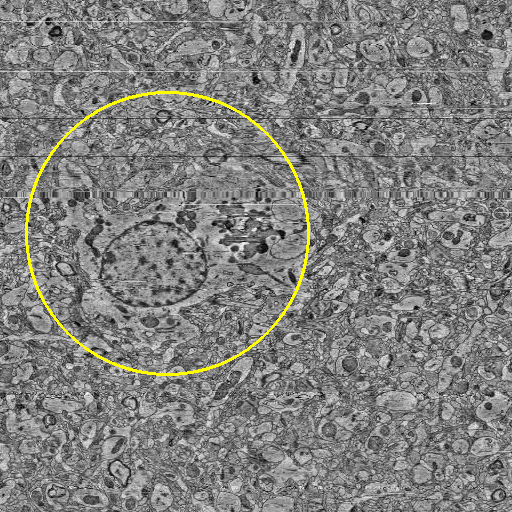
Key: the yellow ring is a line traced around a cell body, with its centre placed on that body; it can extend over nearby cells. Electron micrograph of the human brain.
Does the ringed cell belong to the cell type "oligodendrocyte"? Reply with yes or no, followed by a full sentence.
No, the cell at the centre of the yellow ring in the picture is of another type.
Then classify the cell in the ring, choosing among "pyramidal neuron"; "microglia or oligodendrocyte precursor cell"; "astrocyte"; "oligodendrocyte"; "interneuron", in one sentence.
The cell marked by the ring is an astrocyte.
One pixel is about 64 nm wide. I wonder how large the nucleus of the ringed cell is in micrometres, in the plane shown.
The ringed cell's nucleus measures approximately 7 by 6 micrometres in this plane.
